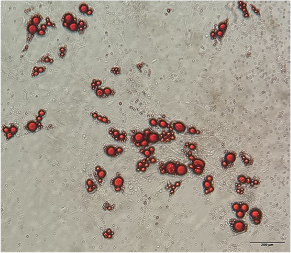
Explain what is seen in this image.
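These are cultured cells that have turned into fat cells. Many of them are stuffed with round droplets stained bright red, which gives each cell a bubbly, berry-like look. The droplets vary in size, and the loaded cells sit in small groups and clusters scattered across the dish. Between the clusters the background is pale and unstained, with only faint outlines of flatter cells.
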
